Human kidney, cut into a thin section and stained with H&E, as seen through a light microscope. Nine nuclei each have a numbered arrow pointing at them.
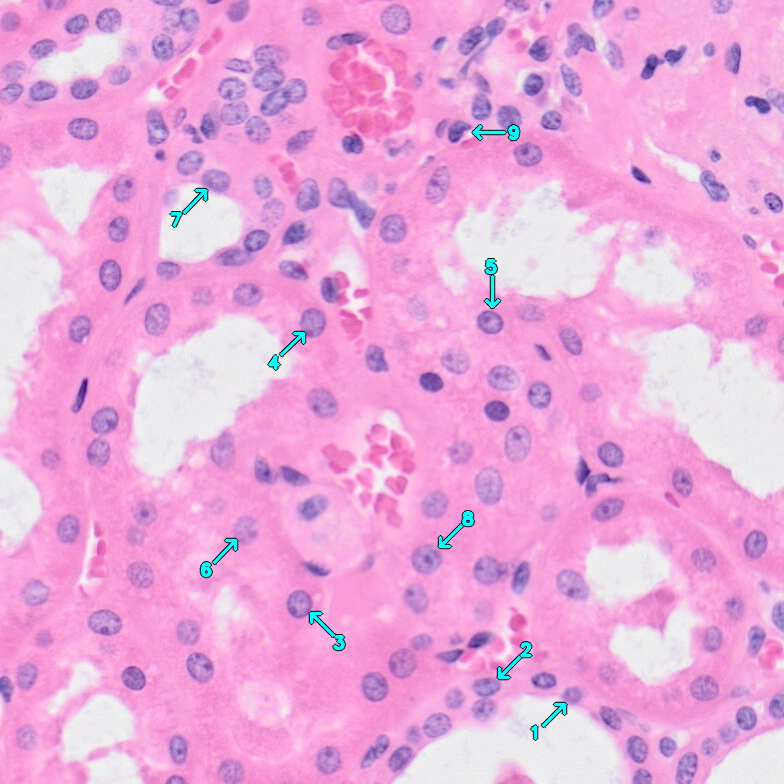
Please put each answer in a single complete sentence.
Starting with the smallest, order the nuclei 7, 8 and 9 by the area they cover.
The order from the smallest nucleus to the largest is 9, 7, 8.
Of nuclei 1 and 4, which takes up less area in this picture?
Number 1 is smaller, since number 4 takes up about 2 times as much area.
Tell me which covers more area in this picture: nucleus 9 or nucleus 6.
Number 6 is larger; its area is about 2 times that of number 9.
